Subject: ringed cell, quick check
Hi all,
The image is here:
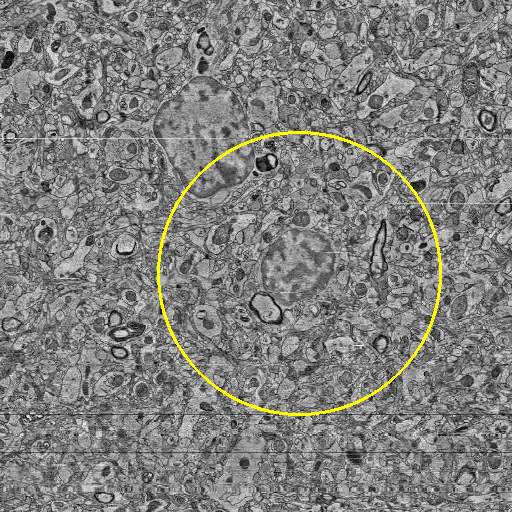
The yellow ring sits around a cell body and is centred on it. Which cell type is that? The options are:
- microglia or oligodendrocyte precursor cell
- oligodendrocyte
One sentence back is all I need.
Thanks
That ringed cell is an oligodendrocyte.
